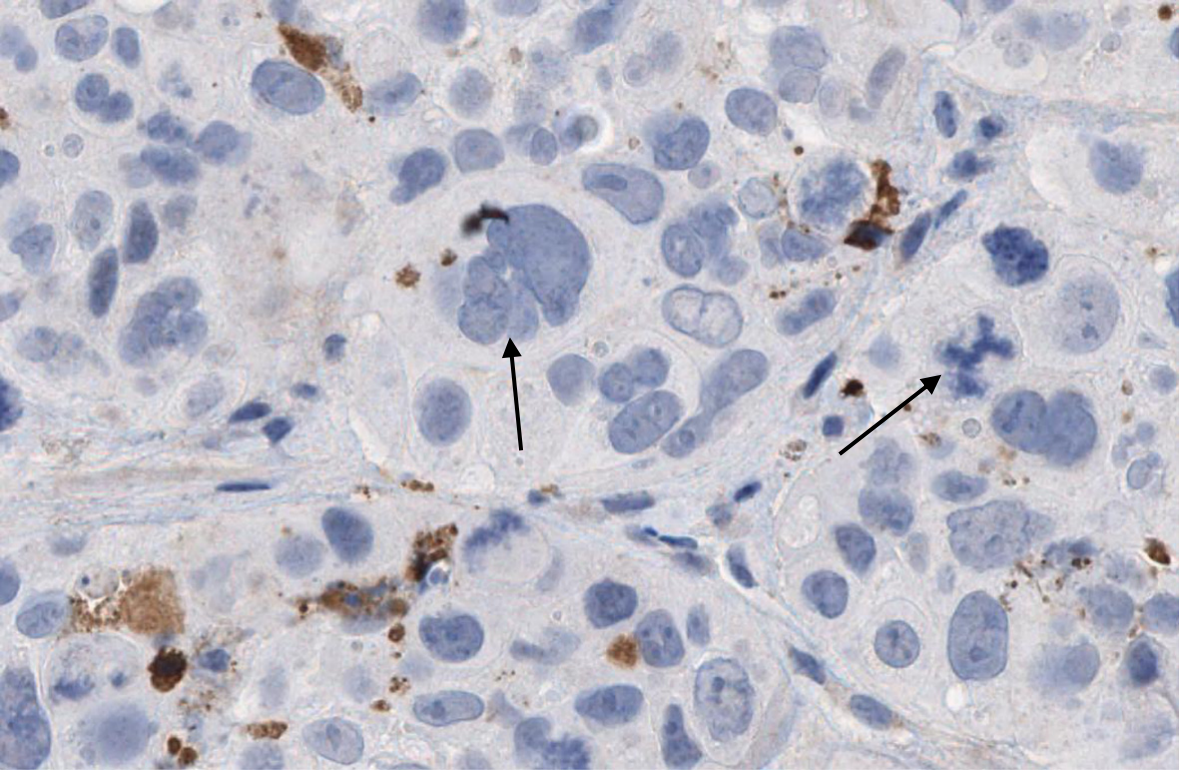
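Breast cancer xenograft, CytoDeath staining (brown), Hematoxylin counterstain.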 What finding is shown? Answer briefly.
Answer: Mitotic catastrophe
